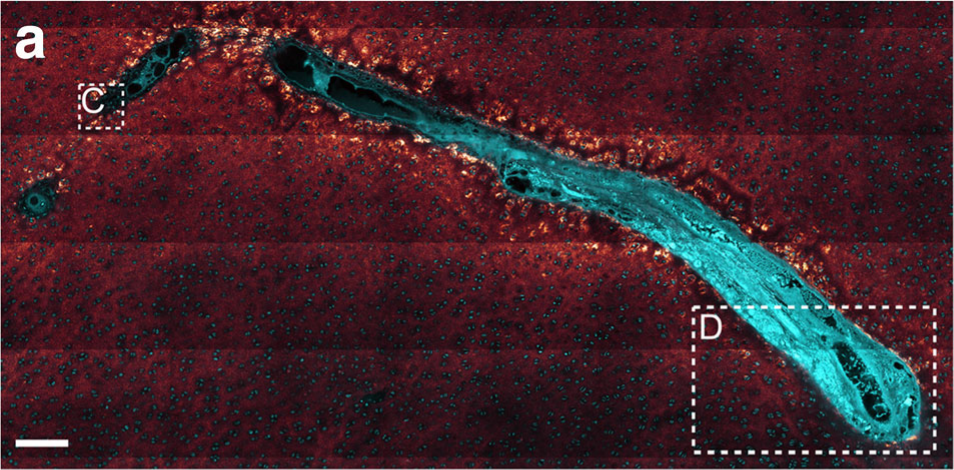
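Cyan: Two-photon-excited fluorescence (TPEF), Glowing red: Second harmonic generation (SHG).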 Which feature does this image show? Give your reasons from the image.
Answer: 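A long, narrow channel filled with bright cyan tissue runs diagonally through the matrix. The surrounding matrix glows red and holds evenly scattered small cell spaces. The channel contains several dark, hollow lumens.
Hence: cartilage canal.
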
